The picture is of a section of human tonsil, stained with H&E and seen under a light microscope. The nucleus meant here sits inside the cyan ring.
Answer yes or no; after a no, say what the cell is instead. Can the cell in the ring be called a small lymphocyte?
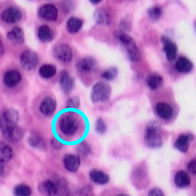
No, it is a plasma cell.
